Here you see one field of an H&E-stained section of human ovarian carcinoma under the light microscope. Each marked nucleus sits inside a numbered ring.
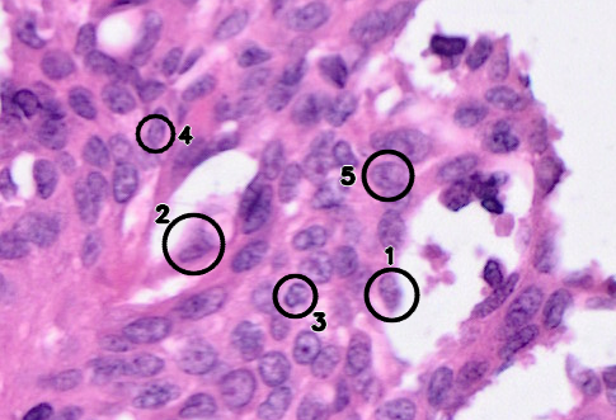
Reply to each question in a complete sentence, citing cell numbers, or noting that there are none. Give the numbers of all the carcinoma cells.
Cells 1, 2 and 5 are classified as carcinoma cells.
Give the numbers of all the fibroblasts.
The numbered cells include no fibroblasts at all.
